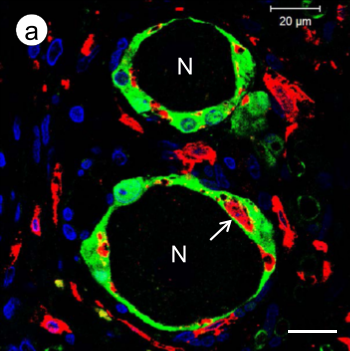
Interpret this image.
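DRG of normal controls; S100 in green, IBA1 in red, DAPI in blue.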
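The neuron's own cytoplasm stays dark, while the blue nuclei of the satellite cells sit within the green ring. Between the ganglion cells lie many small elongated red cells and scattered blue nuclei of other small cells. One red cell, at the arrow, has slipped into the green ring, yet a thin band of green still separates it from the neuron surface.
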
